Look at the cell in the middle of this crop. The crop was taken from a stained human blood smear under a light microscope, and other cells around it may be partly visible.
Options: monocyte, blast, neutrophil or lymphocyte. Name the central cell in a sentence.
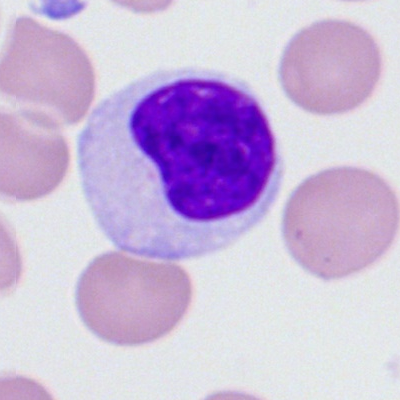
In the central position of this crop, the cell is a lymphocyte.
